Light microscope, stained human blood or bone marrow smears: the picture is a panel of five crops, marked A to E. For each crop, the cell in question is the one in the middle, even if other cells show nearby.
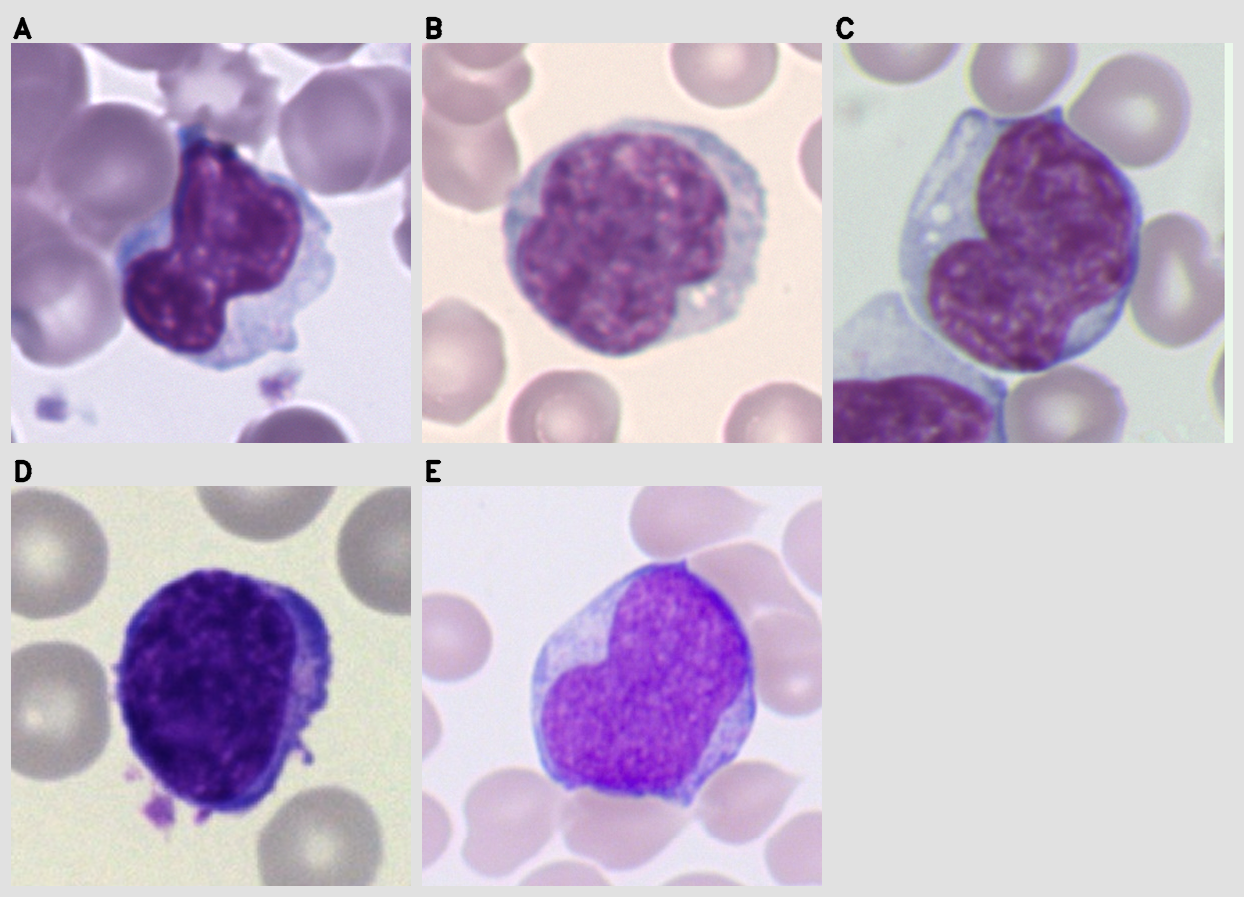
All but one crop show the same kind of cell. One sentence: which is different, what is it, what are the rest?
Crop A breaks the pattern with a lymphocyte; all the others show blasts.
